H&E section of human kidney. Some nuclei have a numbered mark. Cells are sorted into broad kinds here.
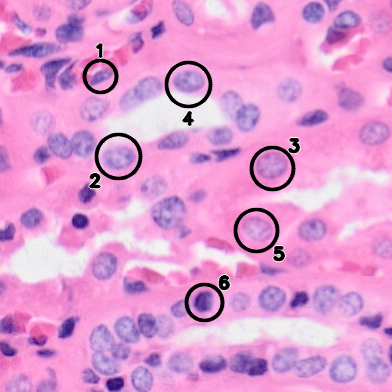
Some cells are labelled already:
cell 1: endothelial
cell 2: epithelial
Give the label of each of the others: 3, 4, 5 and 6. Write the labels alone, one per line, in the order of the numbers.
epithelial
epithelial
epithelial
epithelial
